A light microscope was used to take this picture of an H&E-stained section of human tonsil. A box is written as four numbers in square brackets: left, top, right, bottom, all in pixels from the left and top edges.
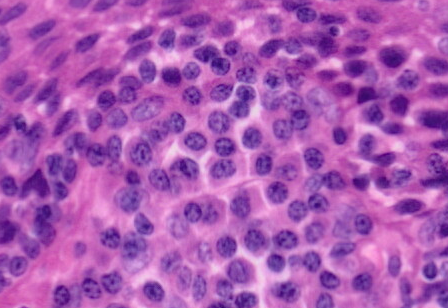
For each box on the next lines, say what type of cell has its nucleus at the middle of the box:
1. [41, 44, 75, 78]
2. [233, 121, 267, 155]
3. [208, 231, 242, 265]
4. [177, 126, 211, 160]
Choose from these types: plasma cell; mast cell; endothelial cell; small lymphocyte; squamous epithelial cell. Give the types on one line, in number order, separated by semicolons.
squamous epithelial cell; plasma cell; plasma cell; plasma cell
